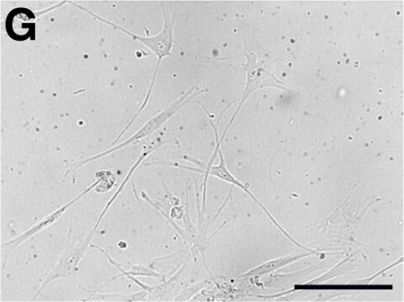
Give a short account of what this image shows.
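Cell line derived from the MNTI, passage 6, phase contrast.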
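The cells lie loosely scattered and crisscross one another on the dish. No dark pigment is visible in any of them.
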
